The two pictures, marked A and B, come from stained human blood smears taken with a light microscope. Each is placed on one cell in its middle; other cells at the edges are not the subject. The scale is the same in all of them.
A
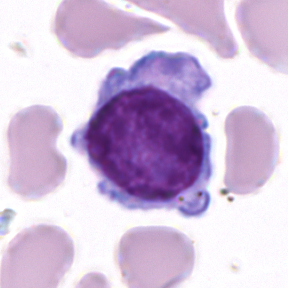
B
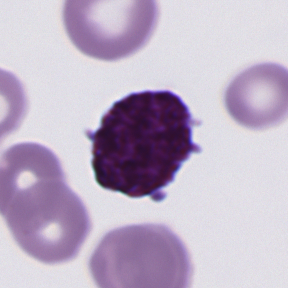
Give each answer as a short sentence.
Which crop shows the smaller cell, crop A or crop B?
Smaller is the cell in crop B, and the other is about 2 times as large in area.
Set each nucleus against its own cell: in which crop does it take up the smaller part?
It is the cell in crop A that is filled less by its nucleus.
